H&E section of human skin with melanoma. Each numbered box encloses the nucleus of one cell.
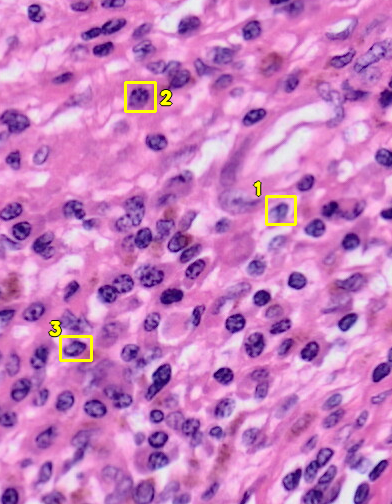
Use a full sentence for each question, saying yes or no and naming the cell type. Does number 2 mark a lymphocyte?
No, a plasma cell, not a lymphocyte, is the cell with number 2.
